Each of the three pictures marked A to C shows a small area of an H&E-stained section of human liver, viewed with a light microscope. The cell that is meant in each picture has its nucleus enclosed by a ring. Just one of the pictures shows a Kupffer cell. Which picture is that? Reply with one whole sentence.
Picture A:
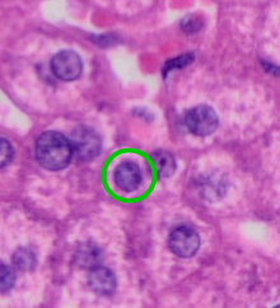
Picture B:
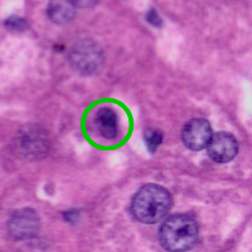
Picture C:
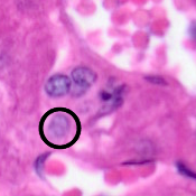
The picture with the Kupffer cell is B.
